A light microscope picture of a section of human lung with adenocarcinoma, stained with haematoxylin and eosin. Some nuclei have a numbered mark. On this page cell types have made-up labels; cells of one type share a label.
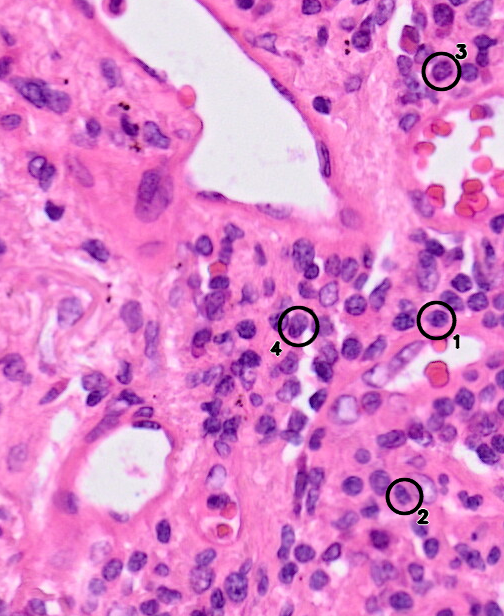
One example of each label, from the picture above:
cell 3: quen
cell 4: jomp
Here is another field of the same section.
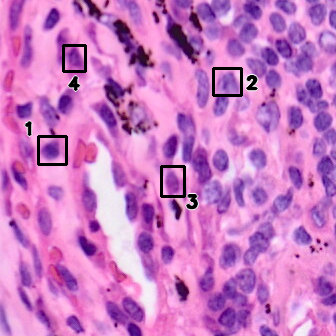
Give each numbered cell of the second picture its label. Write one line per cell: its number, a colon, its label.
1: jomp
2: jomp
3: quen
4: quen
